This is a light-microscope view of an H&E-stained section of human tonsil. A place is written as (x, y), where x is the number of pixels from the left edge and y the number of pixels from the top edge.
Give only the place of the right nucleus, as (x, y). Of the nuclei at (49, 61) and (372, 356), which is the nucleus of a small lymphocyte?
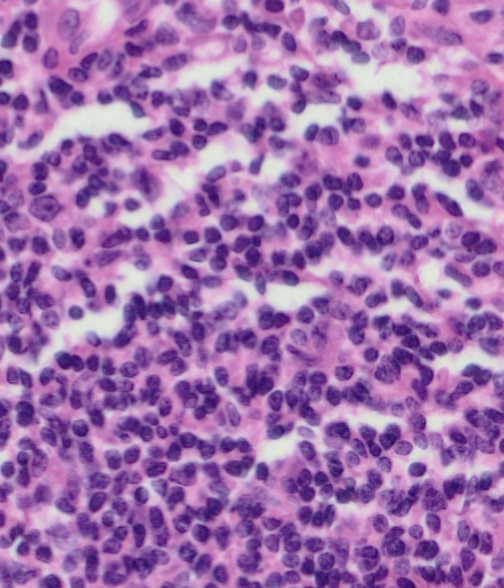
(372, 356)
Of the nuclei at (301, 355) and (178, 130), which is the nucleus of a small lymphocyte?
(178, 130)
